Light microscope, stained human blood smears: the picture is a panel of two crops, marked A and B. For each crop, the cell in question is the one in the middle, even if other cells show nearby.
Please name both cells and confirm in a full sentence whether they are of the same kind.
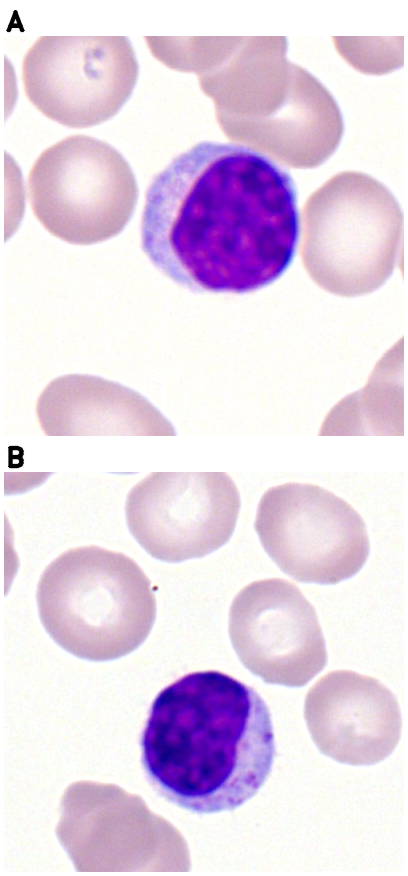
Yes, both crops in this set show lymphocytes.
